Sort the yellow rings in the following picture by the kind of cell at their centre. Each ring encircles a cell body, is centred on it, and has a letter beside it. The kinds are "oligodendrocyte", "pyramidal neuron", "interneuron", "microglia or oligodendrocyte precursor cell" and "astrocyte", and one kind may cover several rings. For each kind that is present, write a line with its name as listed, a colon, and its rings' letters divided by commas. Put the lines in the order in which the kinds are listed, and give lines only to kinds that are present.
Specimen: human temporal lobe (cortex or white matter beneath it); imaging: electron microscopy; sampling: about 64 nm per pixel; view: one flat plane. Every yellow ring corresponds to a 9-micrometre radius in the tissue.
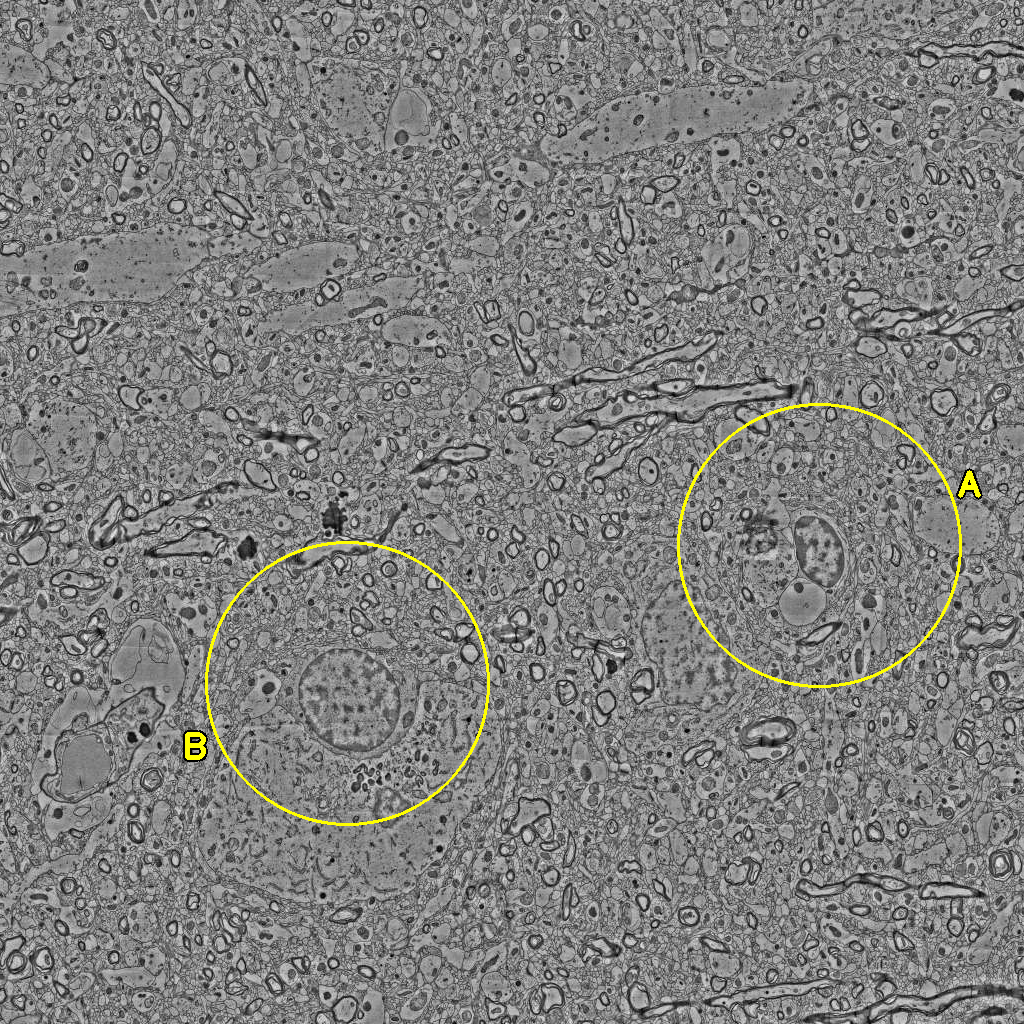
oligodendrocyte: B
microglia or oligodendrocyte precursor cell: A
